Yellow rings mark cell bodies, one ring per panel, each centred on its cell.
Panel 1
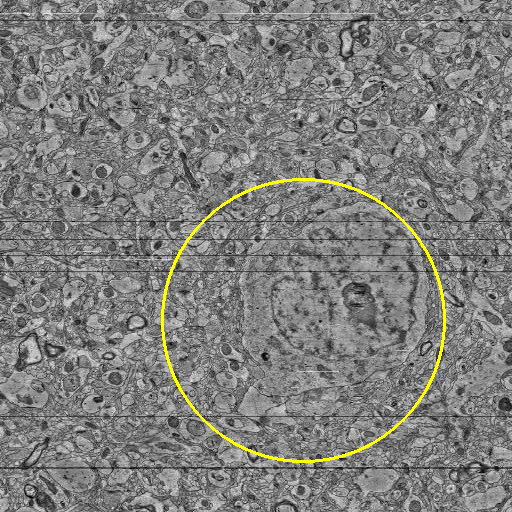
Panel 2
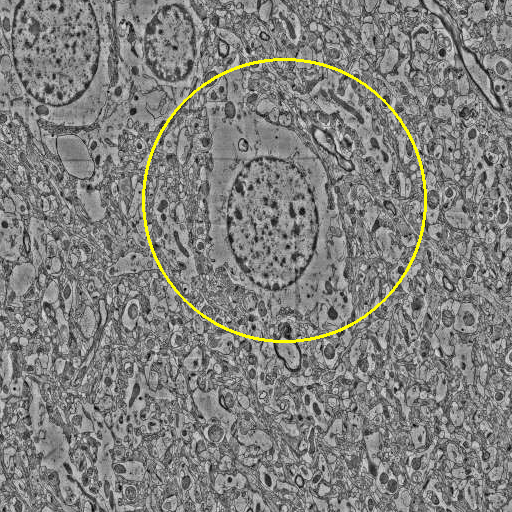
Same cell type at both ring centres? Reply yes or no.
no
